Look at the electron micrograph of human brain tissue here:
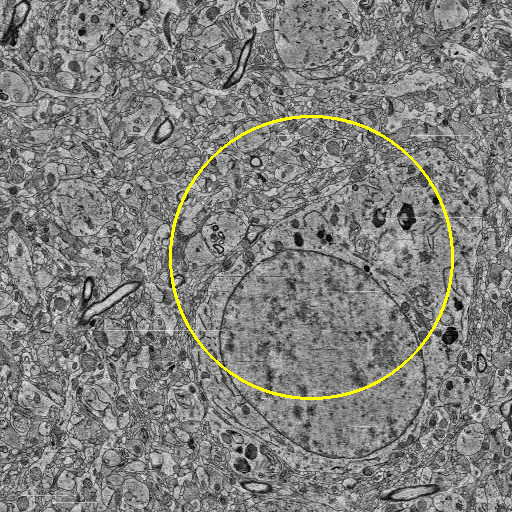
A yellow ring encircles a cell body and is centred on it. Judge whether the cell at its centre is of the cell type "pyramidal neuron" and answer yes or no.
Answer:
yes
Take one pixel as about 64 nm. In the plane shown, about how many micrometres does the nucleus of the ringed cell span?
In this plane the nucleus measures roughly 15 by 12 micrometers.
